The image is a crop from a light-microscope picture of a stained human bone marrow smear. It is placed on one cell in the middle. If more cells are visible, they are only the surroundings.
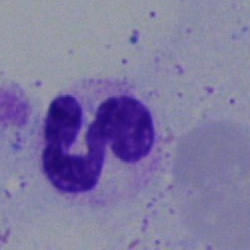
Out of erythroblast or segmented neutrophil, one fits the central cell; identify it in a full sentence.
Among the cells in view, the one in the middle is a segmented neutrophil.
